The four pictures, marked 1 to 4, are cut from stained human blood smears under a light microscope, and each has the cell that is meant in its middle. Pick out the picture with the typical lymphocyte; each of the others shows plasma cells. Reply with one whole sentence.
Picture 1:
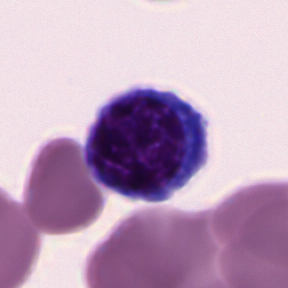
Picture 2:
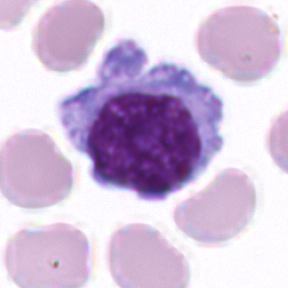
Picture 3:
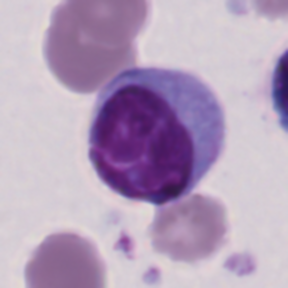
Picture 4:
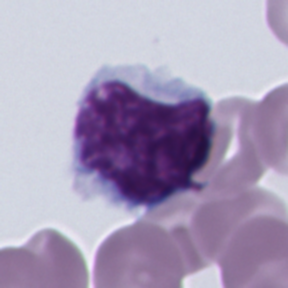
Picture 4 is the one that shows the typical lymphocyte.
